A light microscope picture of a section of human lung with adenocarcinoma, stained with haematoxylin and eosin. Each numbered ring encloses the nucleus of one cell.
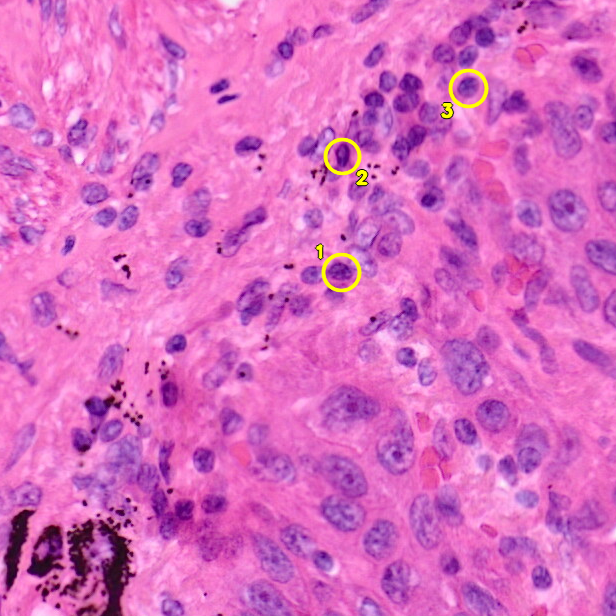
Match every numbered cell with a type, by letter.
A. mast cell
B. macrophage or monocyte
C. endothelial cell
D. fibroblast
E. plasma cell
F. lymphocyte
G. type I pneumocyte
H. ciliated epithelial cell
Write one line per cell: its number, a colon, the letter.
1: E
2: E
3: F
